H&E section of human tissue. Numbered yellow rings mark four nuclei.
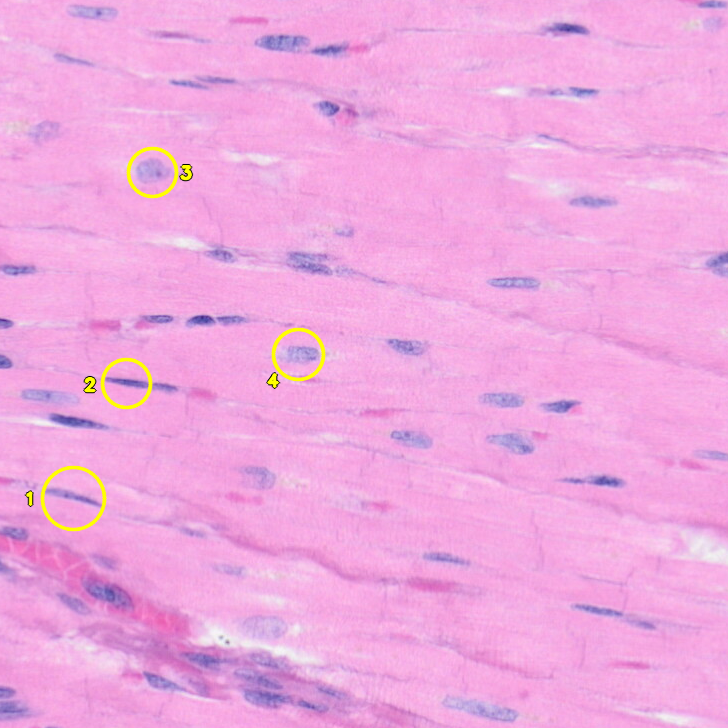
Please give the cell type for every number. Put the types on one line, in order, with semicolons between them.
endothelial cell; fibroblast; cardiomyocyte; cardiomyocyte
